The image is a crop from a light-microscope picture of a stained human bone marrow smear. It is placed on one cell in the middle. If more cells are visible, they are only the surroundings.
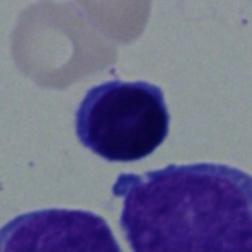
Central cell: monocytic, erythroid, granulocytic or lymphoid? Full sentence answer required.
The cell held in the center of the crop belongs to the lymphoid lineage.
